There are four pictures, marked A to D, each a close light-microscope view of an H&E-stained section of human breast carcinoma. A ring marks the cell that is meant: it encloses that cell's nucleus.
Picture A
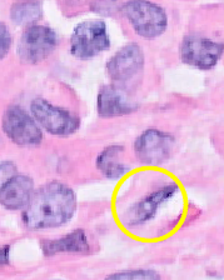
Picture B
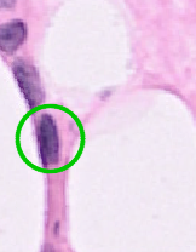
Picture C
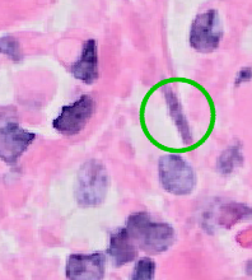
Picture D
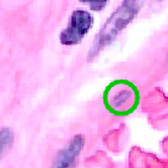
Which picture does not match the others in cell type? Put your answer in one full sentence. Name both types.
Picture C is the odd one out: it shows a fibroblast, while the others show endothelial cells.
